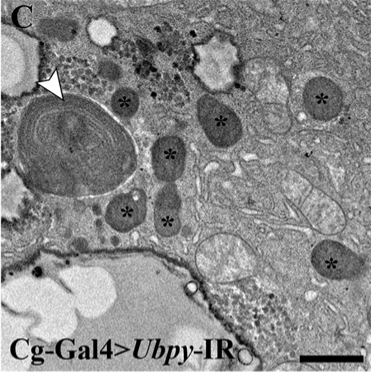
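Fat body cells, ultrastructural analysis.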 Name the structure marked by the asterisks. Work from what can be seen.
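The asterisks mark several small oval vesicles. Each is filled evenly with dark grey material without inclusions.
Answer: vesicles with homogenous electron-dense content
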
